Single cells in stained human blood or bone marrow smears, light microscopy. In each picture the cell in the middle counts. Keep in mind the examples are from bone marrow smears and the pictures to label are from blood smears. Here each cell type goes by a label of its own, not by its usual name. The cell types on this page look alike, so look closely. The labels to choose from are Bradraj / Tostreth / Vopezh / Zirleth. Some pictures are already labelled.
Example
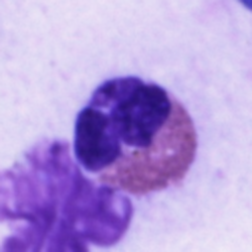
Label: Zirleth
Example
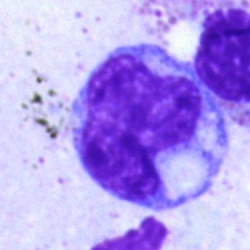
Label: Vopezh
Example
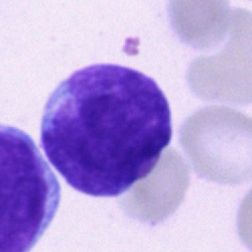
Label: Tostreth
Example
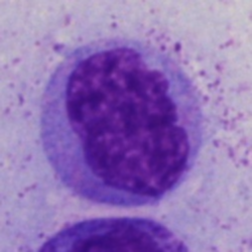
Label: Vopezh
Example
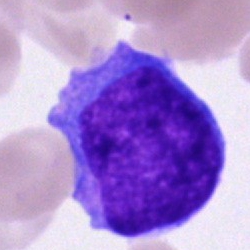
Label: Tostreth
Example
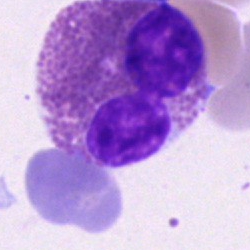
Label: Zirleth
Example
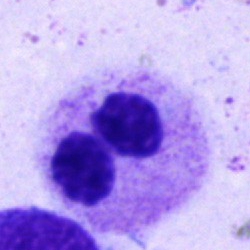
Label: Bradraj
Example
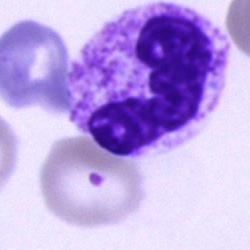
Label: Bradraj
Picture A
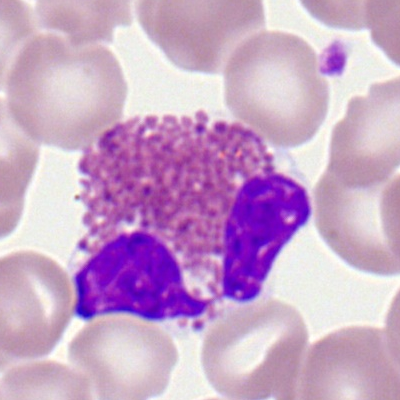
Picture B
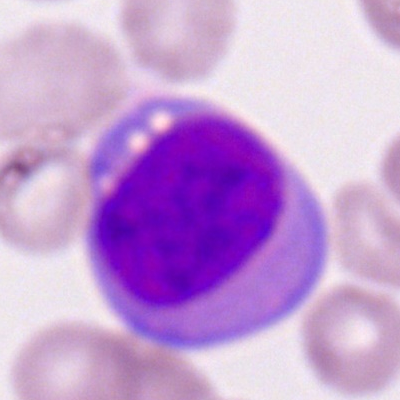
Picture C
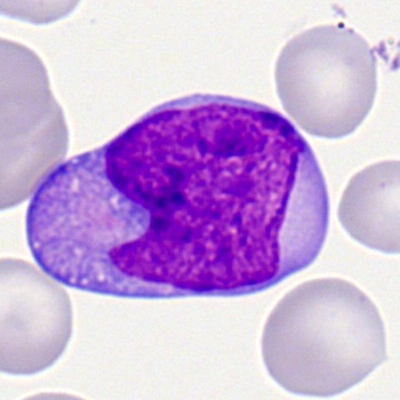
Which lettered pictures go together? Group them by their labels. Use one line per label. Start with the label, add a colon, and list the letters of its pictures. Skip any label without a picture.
Tostreth: B, C
Zirleth: A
